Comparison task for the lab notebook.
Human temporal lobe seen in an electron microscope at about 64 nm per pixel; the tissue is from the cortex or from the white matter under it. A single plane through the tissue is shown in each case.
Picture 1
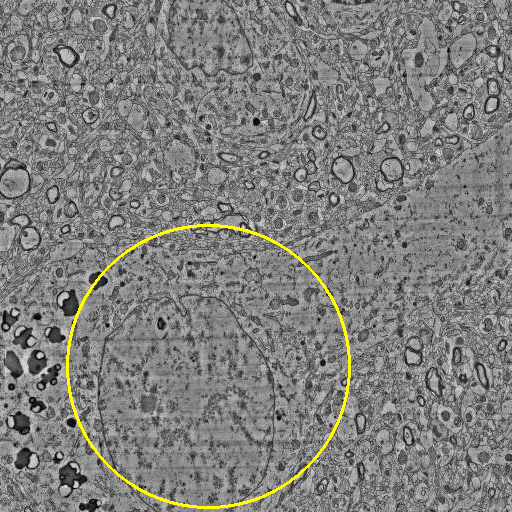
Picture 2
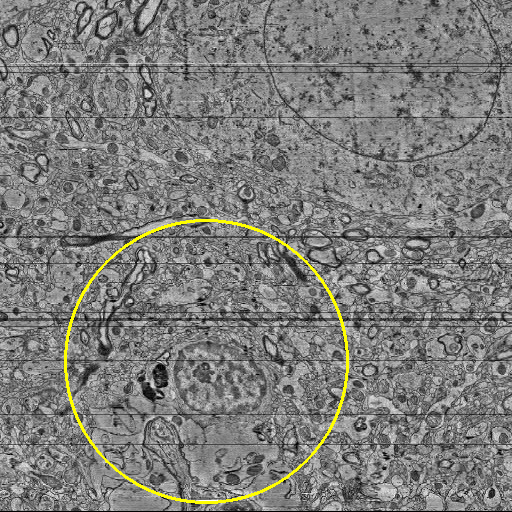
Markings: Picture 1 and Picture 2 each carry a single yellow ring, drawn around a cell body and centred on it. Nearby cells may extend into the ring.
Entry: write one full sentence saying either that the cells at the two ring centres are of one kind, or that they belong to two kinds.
The cells sitting at the ring centres in Picture 1 and Picture 2 belong to two kinds.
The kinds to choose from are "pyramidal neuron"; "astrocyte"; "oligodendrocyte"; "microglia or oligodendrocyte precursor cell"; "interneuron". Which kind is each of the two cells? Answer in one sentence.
Of the two, the first cell is a pyramidal neuron and the second cell is an oligodendrocyte.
